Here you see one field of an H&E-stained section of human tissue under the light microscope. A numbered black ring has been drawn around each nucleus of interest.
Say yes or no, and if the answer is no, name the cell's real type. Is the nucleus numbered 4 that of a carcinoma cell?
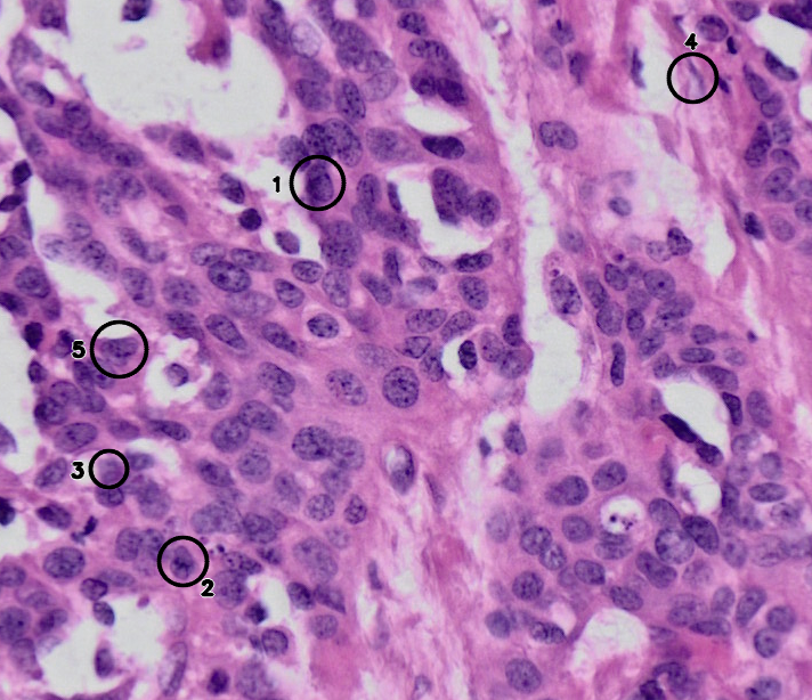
No, it is a fibroblast.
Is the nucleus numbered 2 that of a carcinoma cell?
No, it is a macrophage or monocyte.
